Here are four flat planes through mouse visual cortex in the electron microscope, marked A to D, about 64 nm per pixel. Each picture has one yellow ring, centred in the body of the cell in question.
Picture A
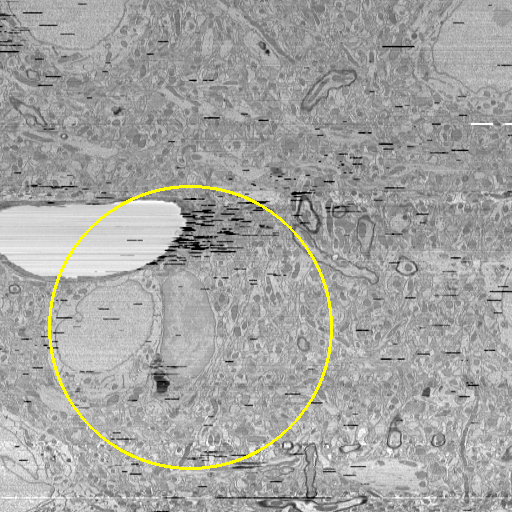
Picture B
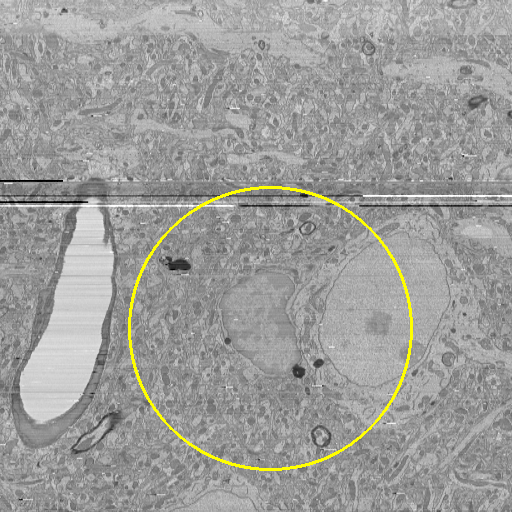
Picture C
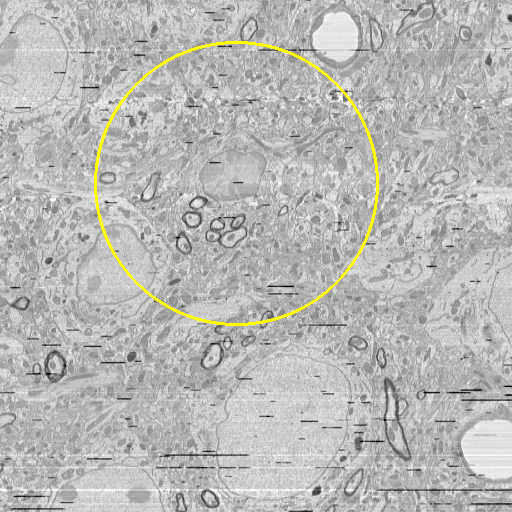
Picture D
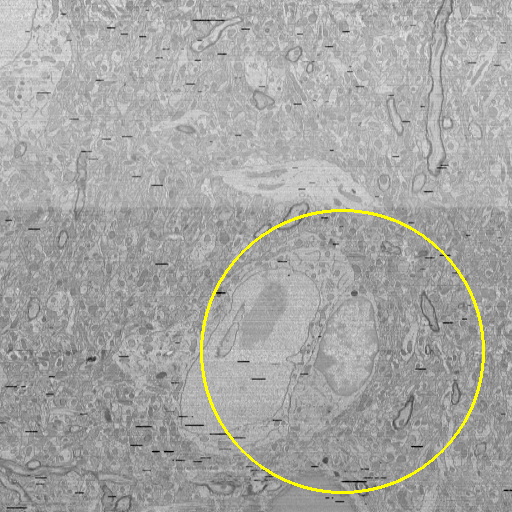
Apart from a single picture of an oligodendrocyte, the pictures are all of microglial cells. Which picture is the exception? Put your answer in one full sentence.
Picture D is the one that shows the oligodendrocyte.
